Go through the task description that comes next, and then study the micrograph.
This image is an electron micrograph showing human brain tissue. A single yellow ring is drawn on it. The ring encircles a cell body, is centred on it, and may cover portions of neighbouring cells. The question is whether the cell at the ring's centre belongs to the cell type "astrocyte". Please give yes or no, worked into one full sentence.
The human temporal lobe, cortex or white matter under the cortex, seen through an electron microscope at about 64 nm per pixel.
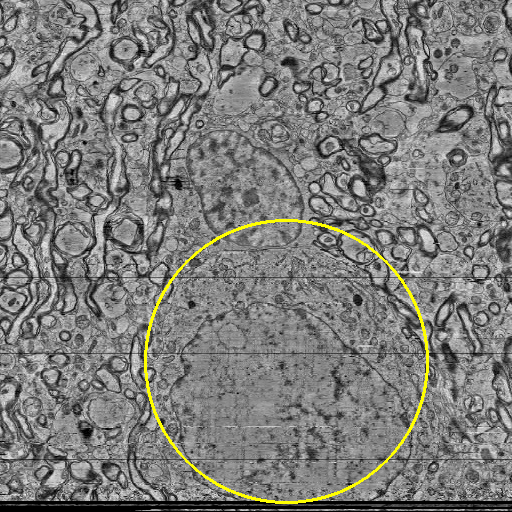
No, the cell that the ring is centred on in the micrograph is of another kind.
